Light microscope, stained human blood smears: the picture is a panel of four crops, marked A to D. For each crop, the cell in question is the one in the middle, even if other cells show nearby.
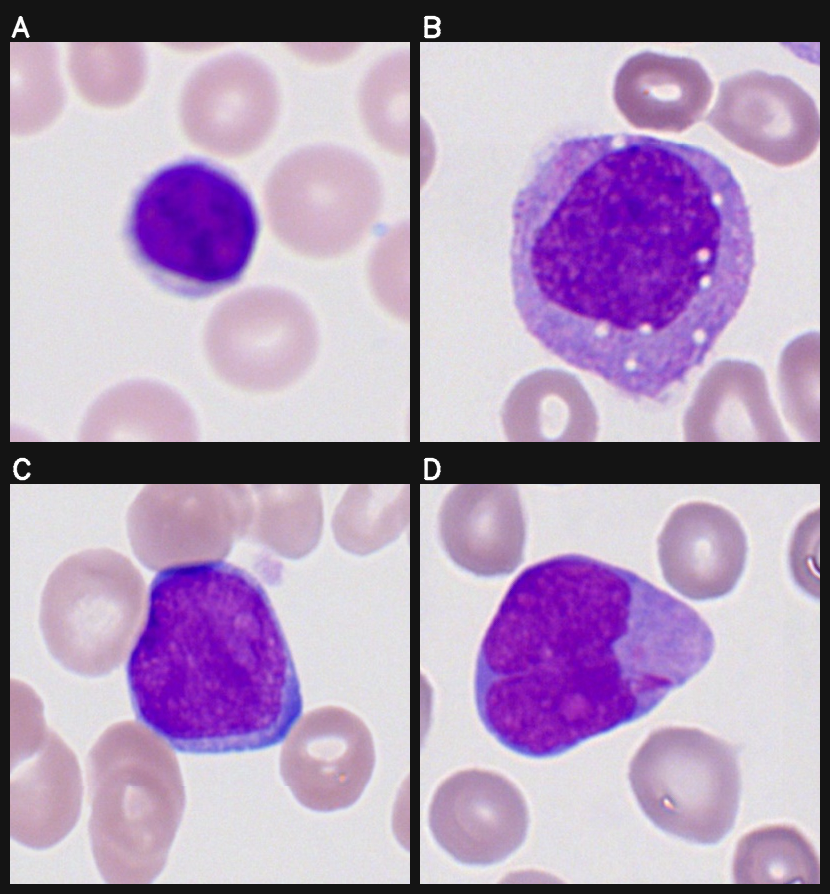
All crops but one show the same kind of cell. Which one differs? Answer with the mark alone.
A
